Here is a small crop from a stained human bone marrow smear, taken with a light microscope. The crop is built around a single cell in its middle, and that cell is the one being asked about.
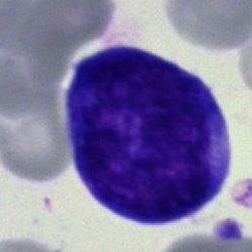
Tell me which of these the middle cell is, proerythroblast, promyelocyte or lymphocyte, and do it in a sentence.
At the center of the crop sits a proerythroblast.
